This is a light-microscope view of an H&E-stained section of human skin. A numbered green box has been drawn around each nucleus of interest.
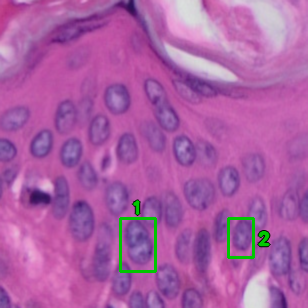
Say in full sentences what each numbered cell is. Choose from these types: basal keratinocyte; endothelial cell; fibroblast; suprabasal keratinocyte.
Cell 1 is a suprabasal keratinocyte. Cell 2 is a basal keratinocyte.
